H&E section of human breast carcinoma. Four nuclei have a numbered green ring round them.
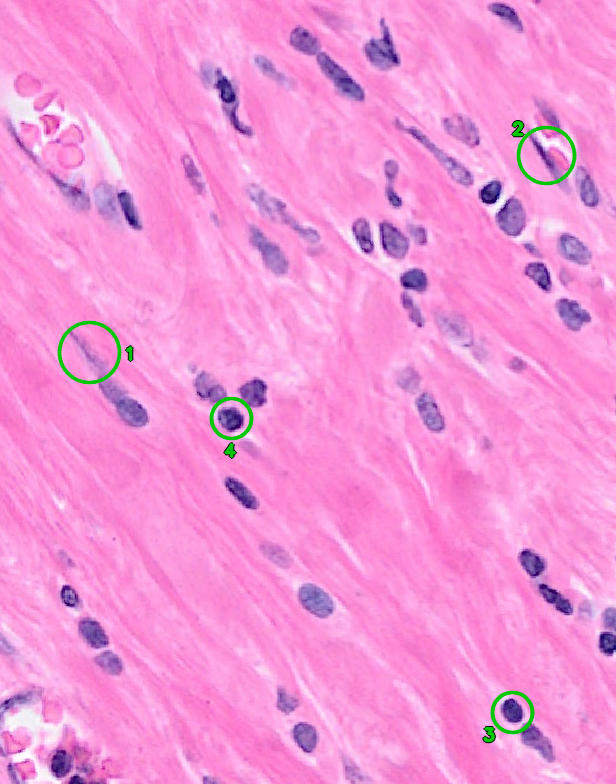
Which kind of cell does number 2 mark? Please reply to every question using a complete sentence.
Nucleus 2 in this section belongs to an endothelial cell.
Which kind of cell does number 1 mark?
Among the marked cells, number 1 is a fibroblast.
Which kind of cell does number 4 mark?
The nucleus labeled 4 belongs to a lymphocyte.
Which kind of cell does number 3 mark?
At number 3, the marked cell is a lymphocyte.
